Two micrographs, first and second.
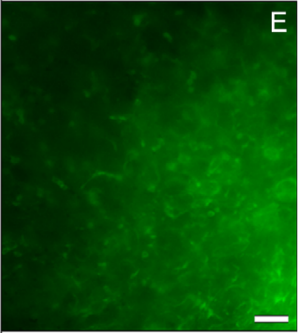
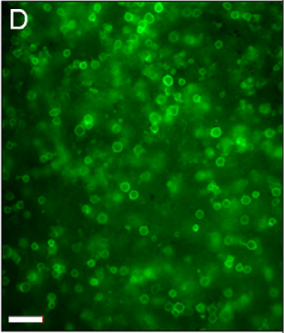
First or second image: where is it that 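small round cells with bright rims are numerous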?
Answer: The second image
